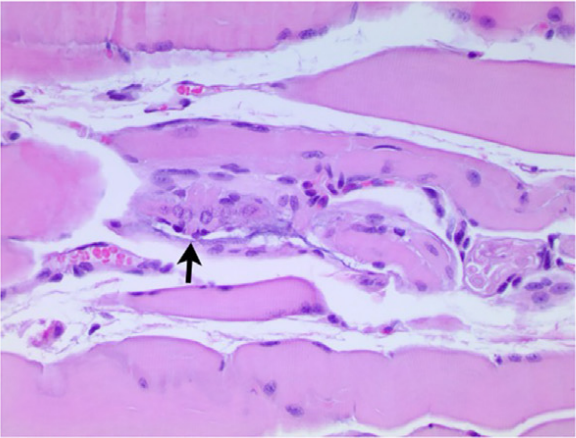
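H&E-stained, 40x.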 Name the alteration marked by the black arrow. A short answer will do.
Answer: Minimal myofiber degeneration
